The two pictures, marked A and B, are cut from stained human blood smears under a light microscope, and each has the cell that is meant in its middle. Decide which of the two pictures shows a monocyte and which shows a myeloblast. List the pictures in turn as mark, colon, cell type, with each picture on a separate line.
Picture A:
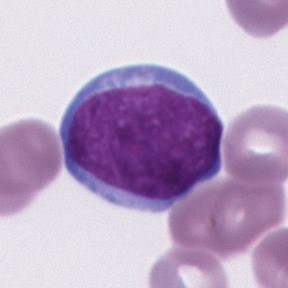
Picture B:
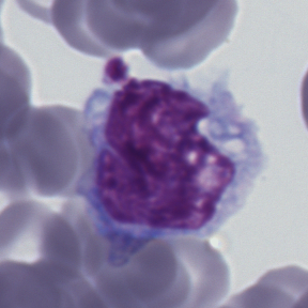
A: myeloblast
B: monocyte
